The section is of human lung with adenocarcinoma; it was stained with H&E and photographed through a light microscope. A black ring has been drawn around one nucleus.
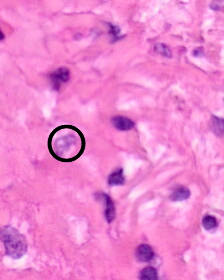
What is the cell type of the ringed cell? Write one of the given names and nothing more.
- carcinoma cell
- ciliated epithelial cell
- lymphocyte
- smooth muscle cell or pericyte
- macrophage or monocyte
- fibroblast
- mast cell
fibroblast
